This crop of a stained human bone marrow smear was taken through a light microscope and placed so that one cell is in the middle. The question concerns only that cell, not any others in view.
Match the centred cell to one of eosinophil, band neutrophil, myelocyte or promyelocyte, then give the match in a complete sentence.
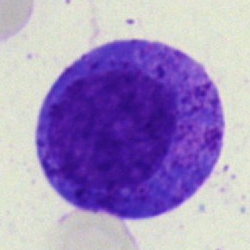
The target cell in the middle of the crop is a promyelocyte.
